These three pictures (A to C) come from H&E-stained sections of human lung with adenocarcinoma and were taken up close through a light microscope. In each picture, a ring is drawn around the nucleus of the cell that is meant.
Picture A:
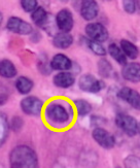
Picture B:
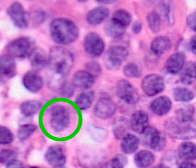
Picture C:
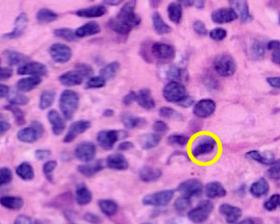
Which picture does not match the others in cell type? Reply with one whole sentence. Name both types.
Picture C differs, because its cell is a plasma cell and the rest are lymphocytes.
